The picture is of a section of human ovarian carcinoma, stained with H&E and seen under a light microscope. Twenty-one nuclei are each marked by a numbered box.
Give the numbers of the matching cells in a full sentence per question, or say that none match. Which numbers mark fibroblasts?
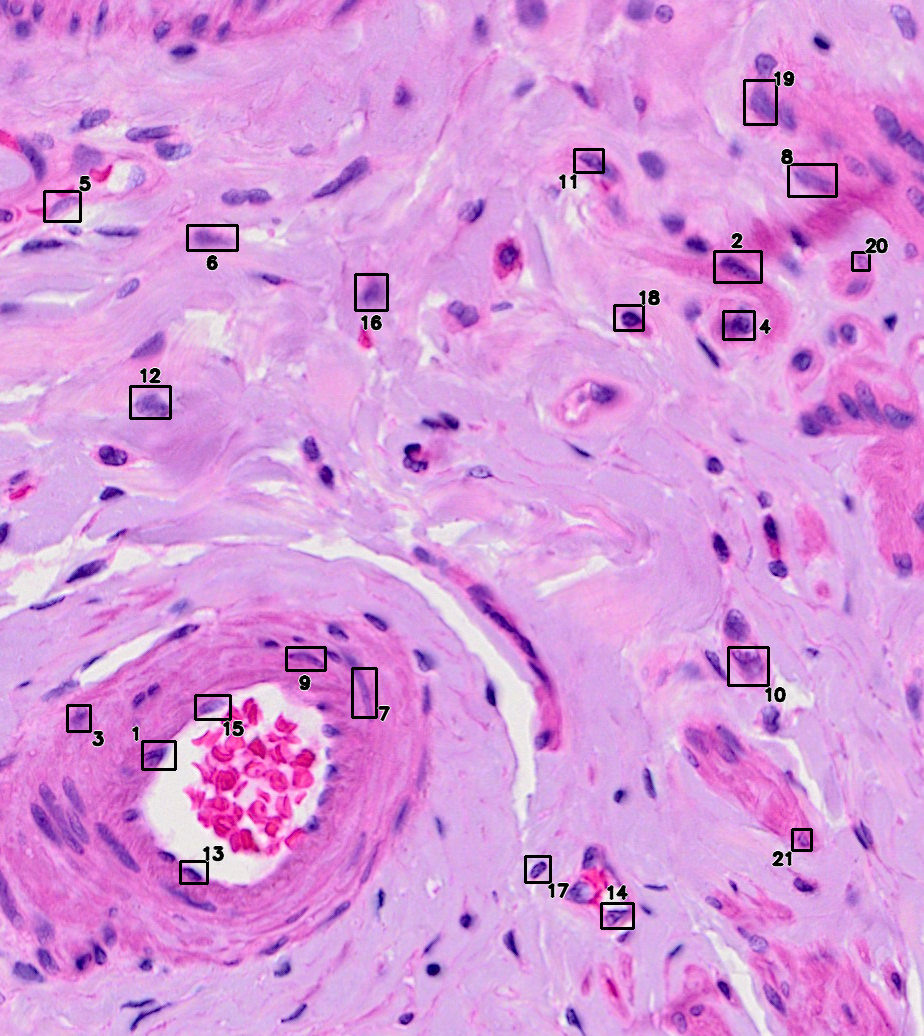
Cells numbered 6, 12 and 16 belong to the group of fibroblasts.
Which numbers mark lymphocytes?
The cells with labels 17 and 18 are lymphocytes.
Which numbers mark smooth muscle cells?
Cells 2, 3, 7, 8, 9, 19, 20 and 21 are smooth muscle cells by cell type.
